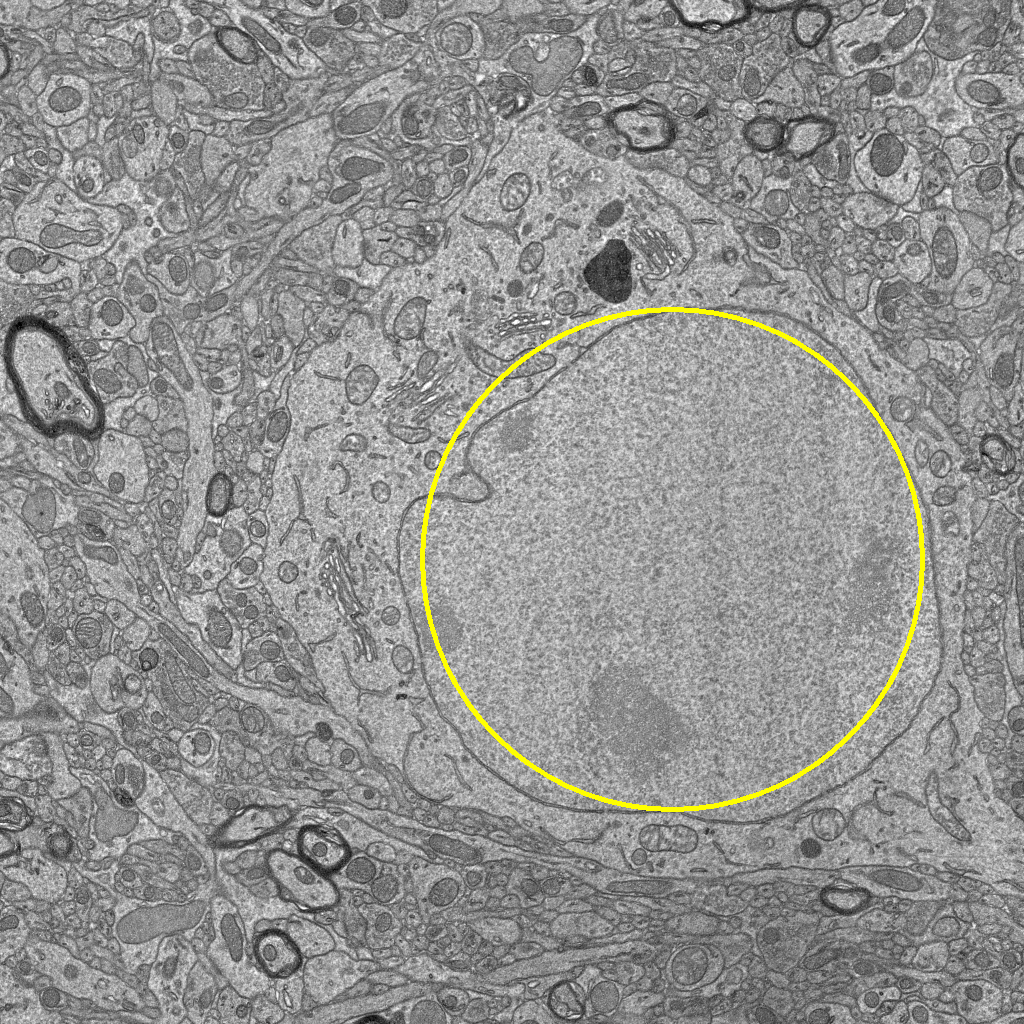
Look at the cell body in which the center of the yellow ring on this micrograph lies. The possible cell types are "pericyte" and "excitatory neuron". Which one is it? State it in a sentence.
The cell at the middle of the ring is an excitatory neuron.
